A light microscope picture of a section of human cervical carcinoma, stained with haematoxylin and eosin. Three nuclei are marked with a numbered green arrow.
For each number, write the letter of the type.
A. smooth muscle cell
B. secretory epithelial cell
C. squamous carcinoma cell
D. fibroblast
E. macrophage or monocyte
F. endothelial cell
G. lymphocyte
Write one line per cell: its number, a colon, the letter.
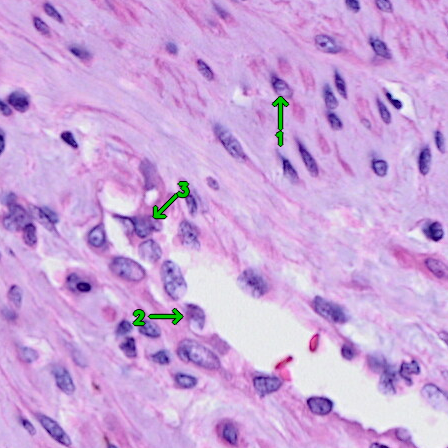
1: A
2: F
3: F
